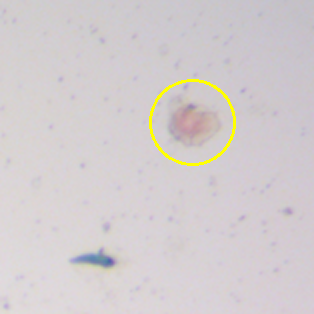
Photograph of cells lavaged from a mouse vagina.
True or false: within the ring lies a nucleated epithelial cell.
True: a nucleated epithelial cell lies within the ring.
